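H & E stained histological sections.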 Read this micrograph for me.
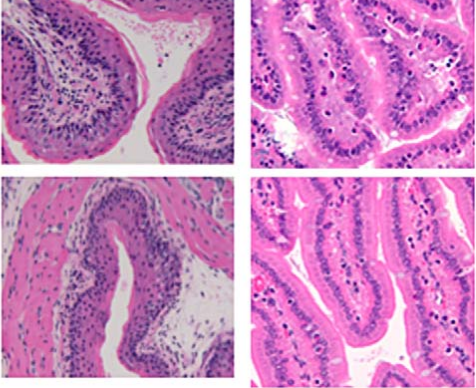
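Four pink-and-purple sections. The two on the left show esophagus: a folded stratified squamous epithelium with a dark purple band of crowded basal nuclei. Nuclei flatten toward the lumen, and a thin pale pink surface layer lines the open lumen. Beneath lies looser pale connective tissue, and in the lower image a broad band of pink muscle fibres. The two on the right show small bowel: finger-like villi, each lined by a single layer of tall columnar cells whose oval purple nuclei sit in a row near the base. Each villus has a narrow cellular core of lamina propria, and slit-like lumen lies between neighbouring villi.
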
